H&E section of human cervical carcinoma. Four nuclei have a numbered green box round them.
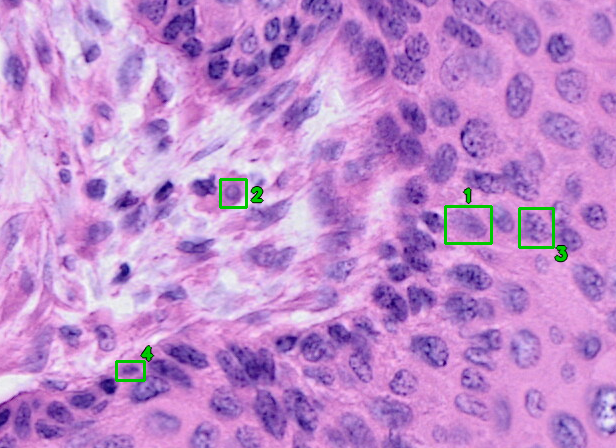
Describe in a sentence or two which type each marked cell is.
Cells 1, 3 and 4 are squamous carcinoma cells. Cell 2 is a macrophage or monocyte.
